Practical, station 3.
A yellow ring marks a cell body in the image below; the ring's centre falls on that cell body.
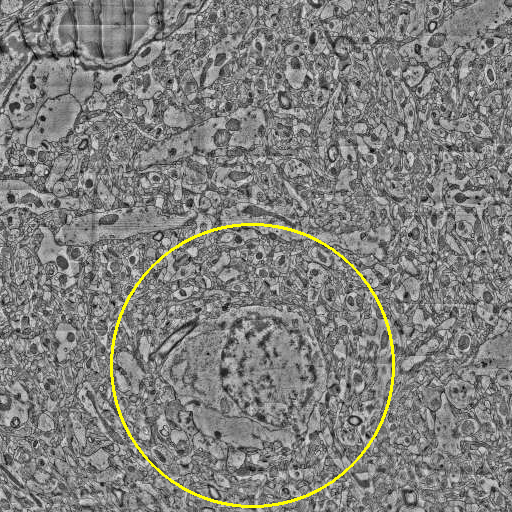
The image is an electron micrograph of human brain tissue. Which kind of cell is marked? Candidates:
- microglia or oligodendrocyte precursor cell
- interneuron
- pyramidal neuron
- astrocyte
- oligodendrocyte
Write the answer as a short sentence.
The marked cell body is that of an interneuron.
